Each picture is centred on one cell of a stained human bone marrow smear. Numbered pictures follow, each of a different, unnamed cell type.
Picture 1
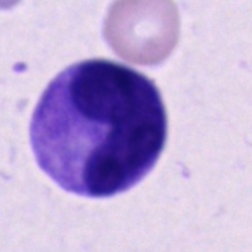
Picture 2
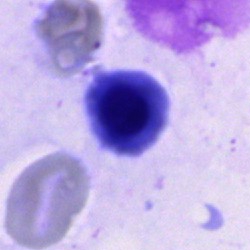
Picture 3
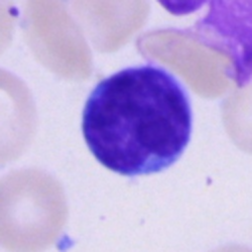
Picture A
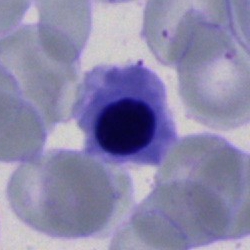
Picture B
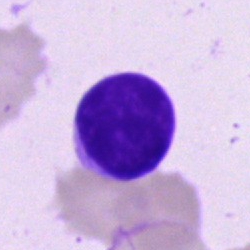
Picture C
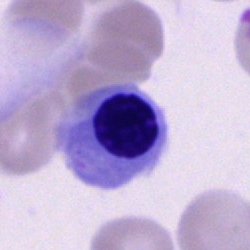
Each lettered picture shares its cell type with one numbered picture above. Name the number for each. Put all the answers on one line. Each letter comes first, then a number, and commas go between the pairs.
A 2, B 3, C 2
